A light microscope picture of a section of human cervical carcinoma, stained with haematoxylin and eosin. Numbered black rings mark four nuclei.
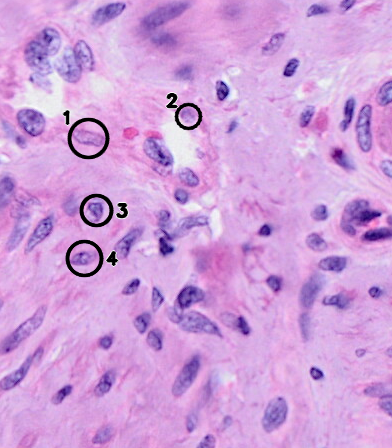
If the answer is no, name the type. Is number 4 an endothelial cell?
No, it is a smooth muscle cell.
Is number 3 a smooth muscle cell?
Yes.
